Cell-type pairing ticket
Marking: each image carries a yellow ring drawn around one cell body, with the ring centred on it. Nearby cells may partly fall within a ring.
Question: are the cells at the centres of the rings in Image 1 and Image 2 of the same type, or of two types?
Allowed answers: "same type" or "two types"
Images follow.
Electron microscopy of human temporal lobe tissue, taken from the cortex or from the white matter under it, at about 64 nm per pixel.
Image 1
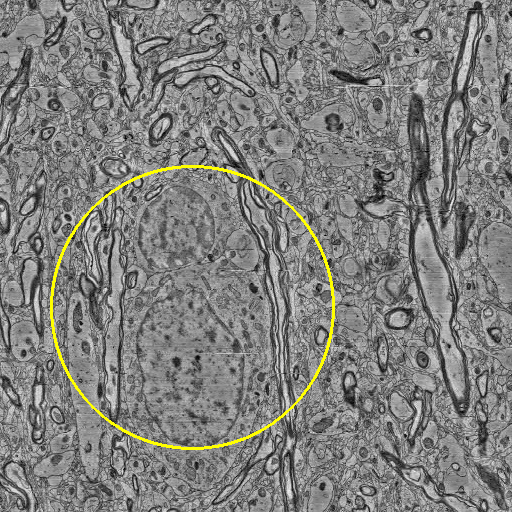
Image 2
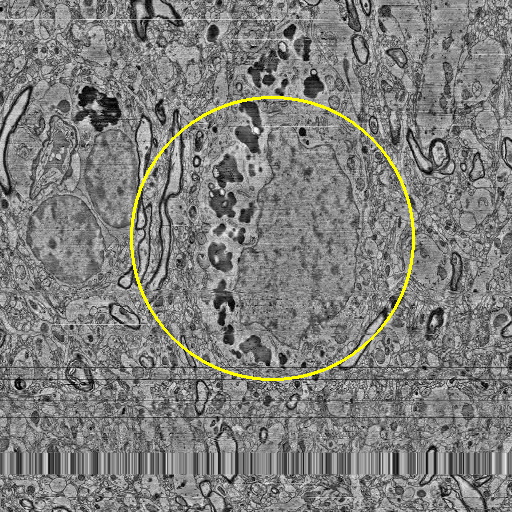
same type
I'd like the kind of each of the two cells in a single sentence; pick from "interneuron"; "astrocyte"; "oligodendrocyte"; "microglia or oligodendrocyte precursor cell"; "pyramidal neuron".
Each one of the two ringed cells is an interneuron.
